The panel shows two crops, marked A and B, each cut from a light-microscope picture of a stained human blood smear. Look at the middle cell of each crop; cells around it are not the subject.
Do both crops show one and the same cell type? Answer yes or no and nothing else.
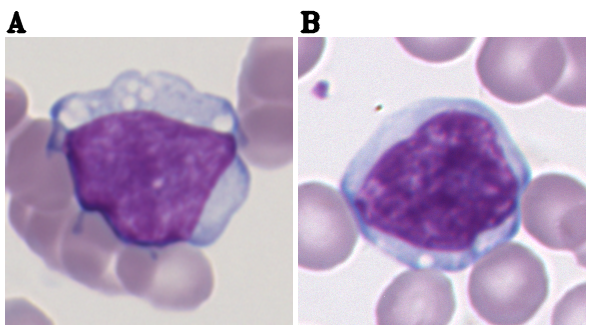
yes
